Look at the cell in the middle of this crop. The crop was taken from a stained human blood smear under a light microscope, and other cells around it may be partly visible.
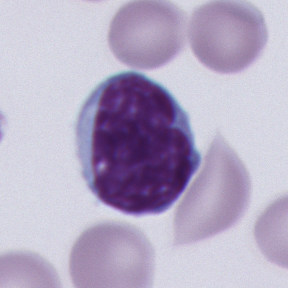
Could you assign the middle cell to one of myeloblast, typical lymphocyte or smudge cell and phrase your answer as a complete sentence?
The central cell in this smear crop is a typical lymphocyte.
